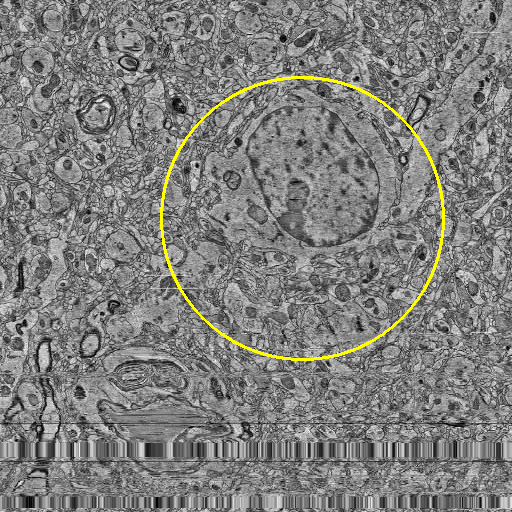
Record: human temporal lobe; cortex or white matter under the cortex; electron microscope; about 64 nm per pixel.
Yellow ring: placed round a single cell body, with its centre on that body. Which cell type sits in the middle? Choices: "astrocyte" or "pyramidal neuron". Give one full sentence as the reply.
It is an astrocyte whose cell body sits at the centre of the yellow ring.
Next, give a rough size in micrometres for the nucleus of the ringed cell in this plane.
Roughly 10 micrometres by 7 micrometres, in this plane.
